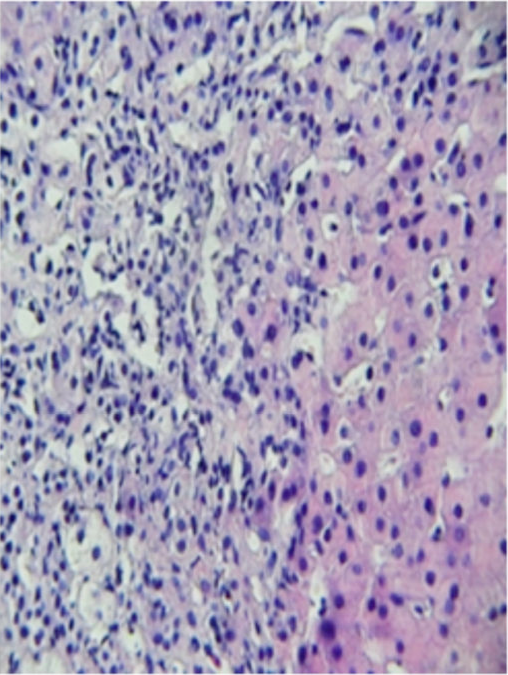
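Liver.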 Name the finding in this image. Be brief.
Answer: Infiltration of lymphocytes.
